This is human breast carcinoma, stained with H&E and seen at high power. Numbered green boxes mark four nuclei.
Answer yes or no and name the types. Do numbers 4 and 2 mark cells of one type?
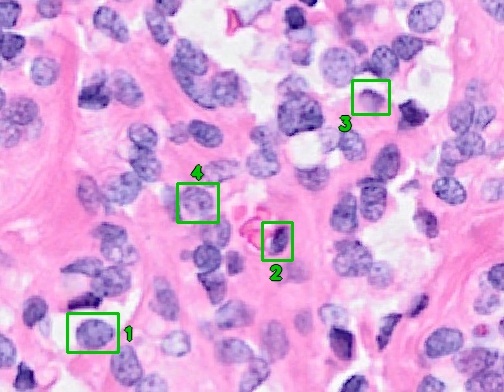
No, cell 4 is a carcinoma cell and cell 2 is an endothelial cell.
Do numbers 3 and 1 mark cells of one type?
Yes, both are carcinoma cells.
